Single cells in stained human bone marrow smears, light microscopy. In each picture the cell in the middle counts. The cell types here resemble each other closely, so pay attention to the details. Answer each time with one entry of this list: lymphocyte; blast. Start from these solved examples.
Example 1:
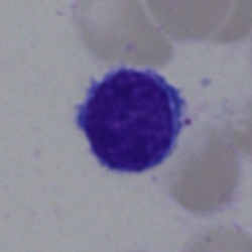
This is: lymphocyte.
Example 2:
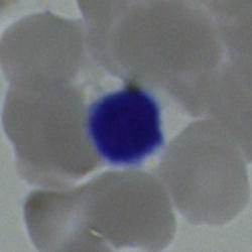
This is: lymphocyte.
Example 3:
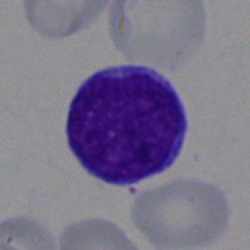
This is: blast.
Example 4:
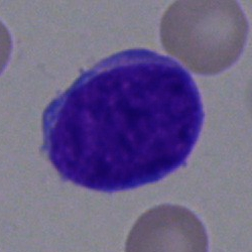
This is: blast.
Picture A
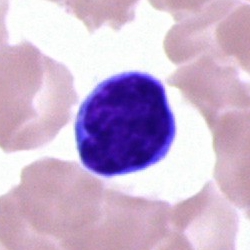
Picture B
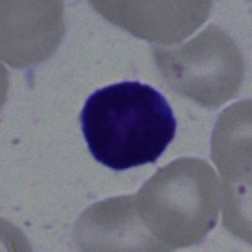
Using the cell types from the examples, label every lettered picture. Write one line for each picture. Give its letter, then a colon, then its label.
A: lymphocyte.
B: lymphocyte.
